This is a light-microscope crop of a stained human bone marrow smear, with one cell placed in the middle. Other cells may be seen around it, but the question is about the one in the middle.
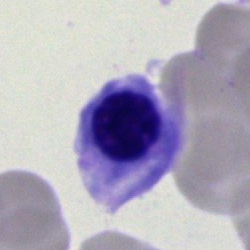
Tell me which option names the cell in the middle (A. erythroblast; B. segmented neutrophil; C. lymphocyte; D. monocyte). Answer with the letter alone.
A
